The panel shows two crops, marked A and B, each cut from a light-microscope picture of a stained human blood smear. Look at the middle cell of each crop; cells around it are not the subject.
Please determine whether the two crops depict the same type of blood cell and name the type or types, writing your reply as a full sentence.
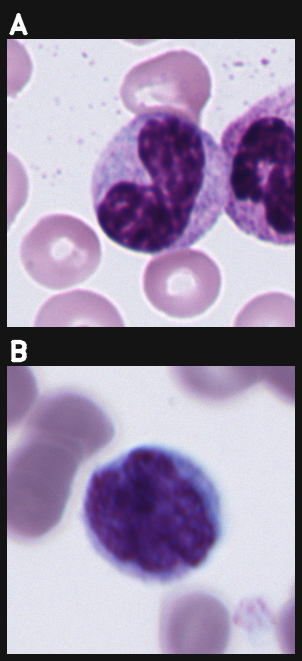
No, crop A should be called a band neutrophil, and crop B should be called a monocyte.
